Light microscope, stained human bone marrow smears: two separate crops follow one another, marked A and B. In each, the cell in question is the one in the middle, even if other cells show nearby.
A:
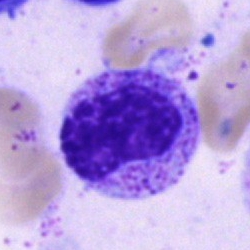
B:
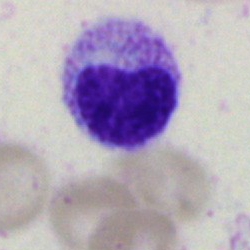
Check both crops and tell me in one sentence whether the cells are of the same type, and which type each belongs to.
Yes, metamyelocytes are the central cells in the two crops.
